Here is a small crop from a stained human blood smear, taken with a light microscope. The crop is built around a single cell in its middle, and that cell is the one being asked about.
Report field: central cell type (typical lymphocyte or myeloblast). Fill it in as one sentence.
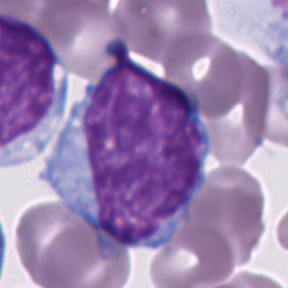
Where the crop is centred, there is a myeloblast.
